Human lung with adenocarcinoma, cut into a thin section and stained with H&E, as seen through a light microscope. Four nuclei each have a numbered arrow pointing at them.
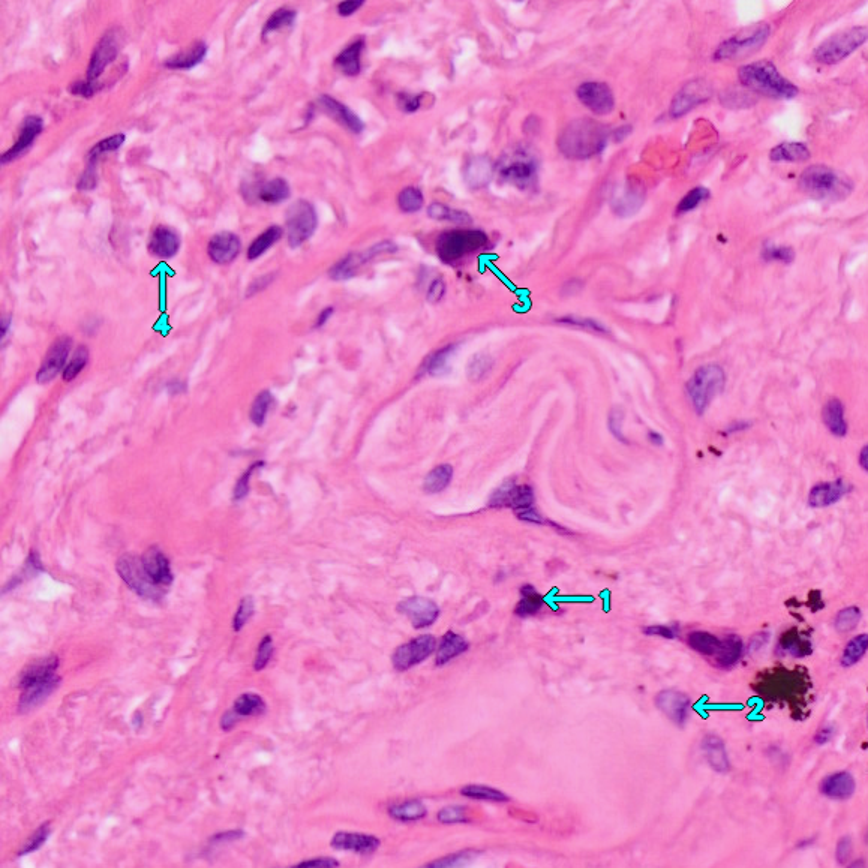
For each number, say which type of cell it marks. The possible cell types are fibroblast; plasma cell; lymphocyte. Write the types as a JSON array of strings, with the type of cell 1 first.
["plasma cell", "fibroblast", "plasma cell", "lymphocyte"]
